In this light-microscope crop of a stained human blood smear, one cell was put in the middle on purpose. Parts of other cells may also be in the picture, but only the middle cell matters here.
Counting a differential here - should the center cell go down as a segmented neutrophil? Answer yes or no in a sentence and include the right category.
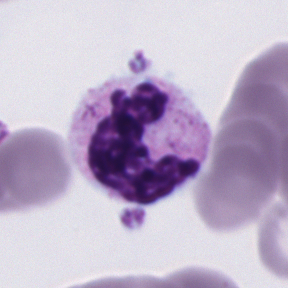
Yes, it is a segmented neutrophil that occupies the centre of the crop.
